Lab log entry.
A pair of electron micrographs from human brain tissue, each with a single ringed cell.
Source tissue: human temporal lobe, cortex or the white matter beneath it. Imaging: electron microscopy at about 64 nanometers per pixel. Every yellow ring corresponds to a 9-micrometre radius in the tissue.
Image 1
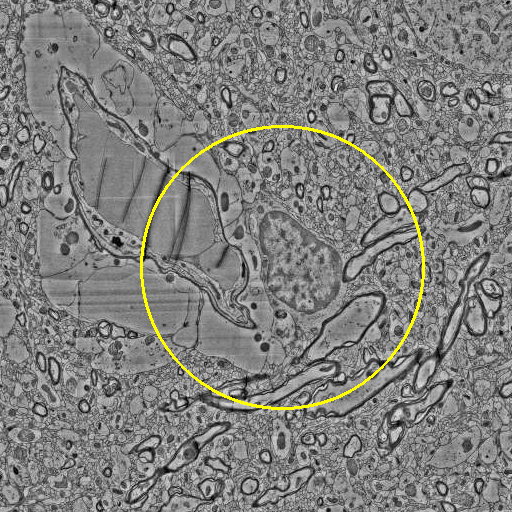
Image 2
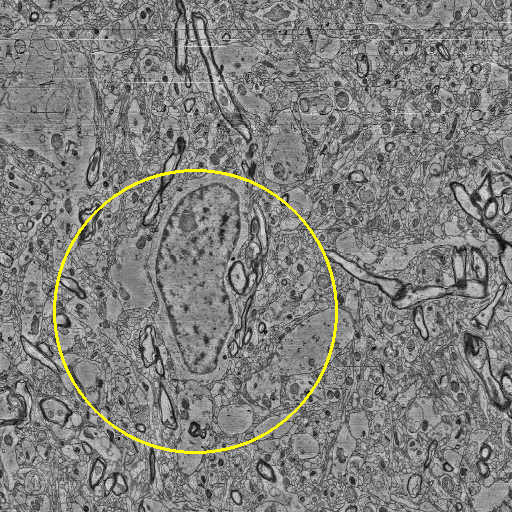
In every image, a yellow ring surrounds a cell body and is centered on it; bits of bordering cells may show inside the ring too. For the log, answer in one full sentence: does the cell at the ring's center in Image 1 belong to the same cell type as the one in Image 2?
No, the cells at the ring centers in Image 1 and Image 2 are of separate types.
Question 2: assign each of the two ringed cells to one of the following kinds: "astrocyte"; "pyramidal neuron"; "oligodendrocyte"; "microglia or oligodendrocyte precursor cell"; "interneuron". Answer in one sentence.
The two cells are an oligodendrocyte in the first picture and a microglial cell or oligodendrocyte precursor cell in the second.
